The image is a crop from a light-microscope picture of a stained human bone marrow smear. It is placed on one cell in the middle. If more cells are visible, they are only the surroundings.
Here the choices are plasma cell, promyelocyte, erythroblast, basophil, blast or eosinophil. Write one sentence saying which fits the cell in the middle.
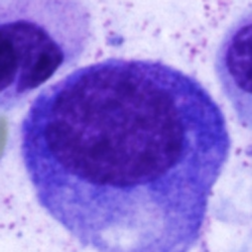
The central cell, amid any neighbouring cells, is a promyelocyte.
